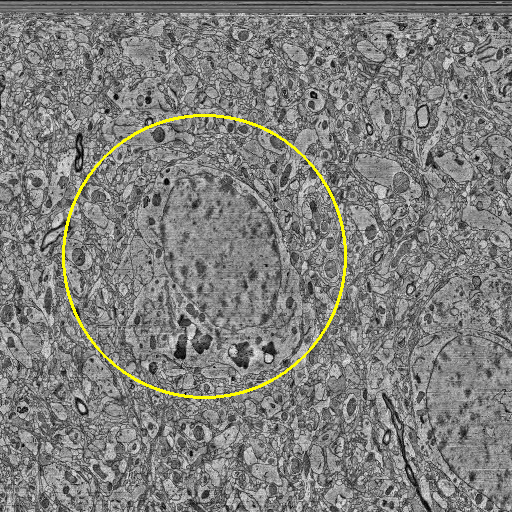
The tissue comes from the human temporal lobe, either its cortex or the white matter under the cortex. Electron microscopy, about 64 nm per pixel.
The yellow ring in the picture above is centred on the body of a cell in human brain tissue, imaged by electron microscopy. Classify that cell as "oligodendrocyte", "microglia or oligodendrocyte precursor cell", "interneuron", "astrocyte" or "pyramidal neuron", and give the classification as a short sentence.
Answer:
The cell in the middle of the ring is an interneuron.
